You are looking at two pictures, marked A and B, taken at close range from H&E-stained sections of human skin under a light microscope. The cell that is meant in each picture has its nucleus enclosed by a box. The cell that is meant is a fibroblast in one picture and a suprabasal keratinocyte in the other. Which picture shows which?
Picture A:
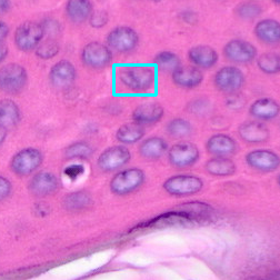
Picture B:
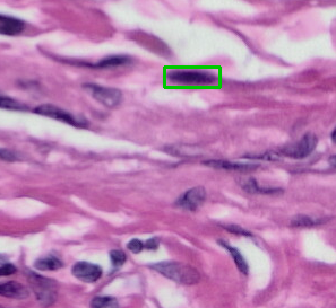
A: suprabasal keratinocyte
B: fibroblast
